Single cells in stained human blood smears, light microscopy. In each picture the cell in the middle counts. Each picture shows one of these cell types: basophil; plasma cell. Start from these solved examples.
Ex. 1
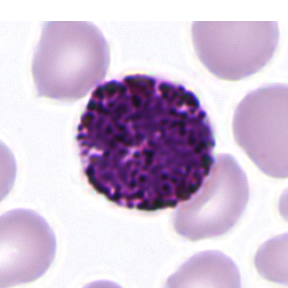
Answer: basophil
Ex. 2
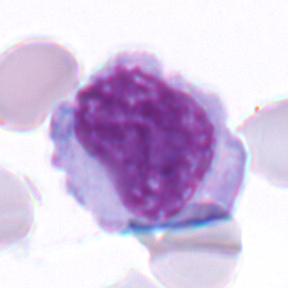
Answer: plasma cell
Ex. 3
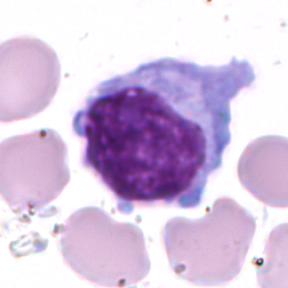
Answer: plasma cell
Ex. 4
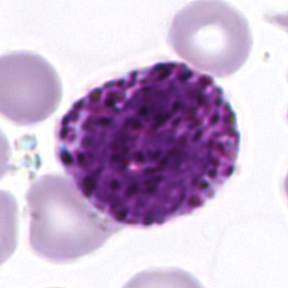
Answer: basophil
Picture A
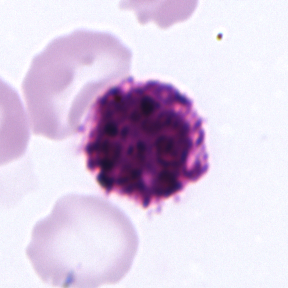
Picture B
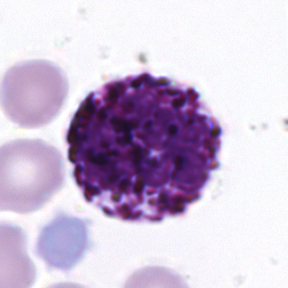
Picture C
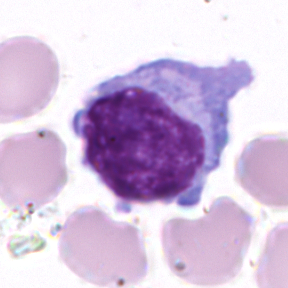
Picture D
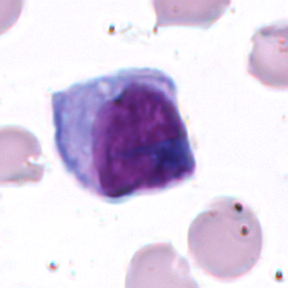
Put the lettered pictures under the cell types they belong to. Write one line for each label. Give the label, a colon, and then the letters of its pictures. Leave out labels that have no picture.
basophil: A, B
plasma cell: C, D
